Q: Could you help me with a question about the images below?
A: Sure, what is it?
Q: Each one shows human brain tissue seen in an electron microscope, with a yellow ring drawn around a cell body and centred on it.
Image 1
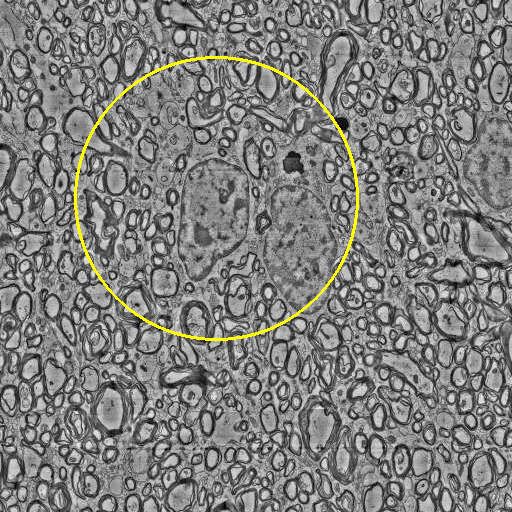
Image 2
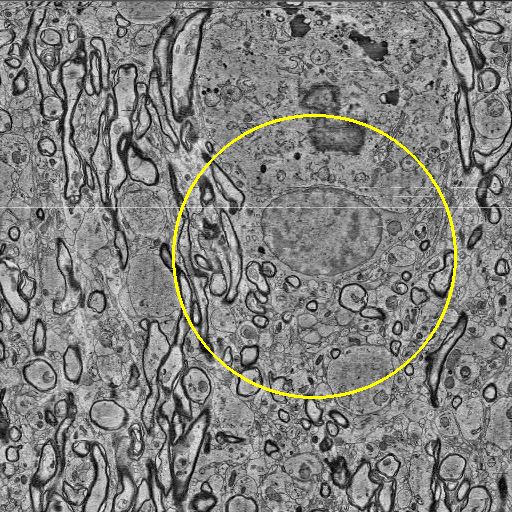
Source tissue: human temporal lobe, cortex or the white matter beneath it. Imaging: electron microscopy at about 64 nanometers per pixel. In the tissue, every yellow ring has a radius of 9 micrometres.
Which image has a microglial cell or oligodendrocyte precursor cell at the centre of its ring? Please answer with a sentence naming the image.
Image 1 has it at the centre of its ring.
